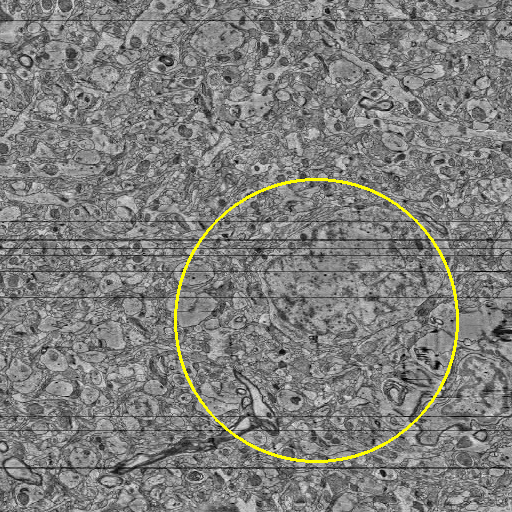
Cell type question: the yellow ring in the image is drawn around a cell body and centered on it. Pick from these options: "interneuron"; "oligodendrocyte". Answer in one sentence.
The ringed cell at the center is an interneuron.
